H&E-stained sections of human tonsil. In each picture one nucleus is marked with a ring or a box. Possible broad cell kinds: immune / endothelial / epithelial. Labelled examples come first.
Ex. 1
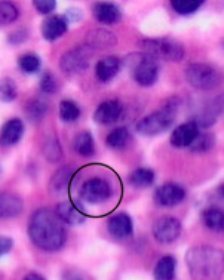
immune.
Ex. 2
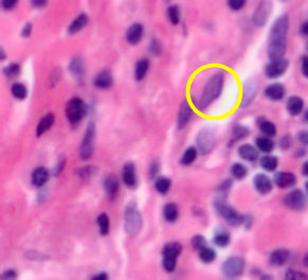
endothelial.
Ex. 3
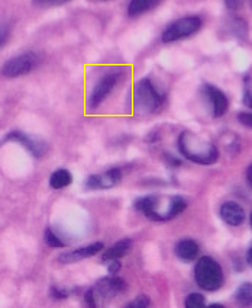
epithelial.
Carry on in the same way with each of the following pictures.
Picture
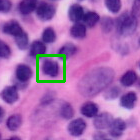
endothelial.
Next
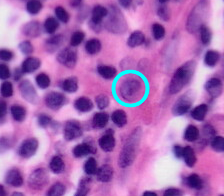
endothelial.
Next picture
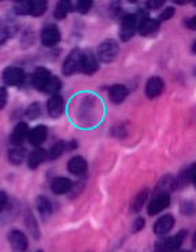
endothelial.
